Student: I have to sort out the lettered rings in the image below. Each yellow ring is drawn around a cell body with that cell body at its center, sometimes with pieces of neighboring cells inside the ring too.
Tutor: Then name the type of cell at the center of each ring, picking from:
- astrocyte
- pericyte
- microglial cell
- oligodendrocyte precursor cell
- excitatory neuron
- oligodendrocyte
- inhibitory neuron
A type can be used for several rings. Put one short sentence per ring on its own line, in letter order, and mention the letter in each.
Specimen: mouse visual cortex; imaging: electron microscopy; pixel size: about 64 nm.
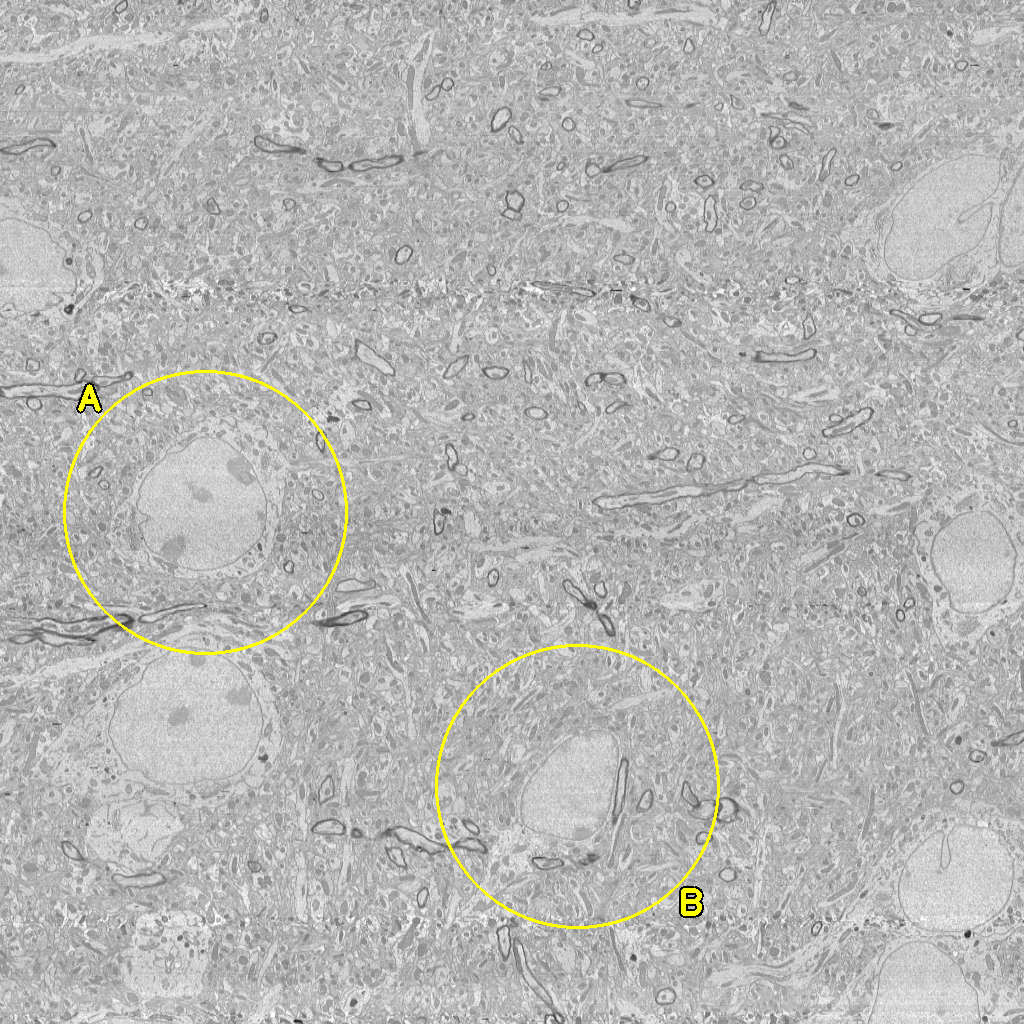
Inside ring A, at its center, is an excitatory neuron.
Inside ring B, at its center, is an astrocyte.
